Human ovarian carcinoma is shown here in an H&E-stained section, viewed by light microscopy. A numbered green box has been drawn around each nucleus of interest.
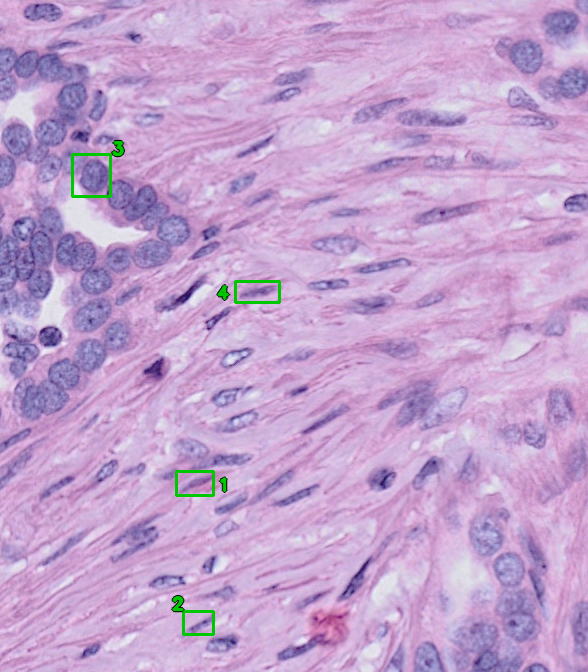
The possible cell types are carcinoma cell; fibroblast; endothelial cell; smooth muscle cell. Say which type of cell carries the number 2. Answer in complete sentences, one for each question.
Heads up, the cell numbered 2 is a fibroblast.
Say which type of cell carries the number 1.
Marked with the number 1, this cell is a fibroblast.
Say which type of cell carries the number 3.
The cell with the number 3 is a carcinoma cell.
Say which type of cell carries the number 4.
Number 4 is placed on a fibroblast here.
